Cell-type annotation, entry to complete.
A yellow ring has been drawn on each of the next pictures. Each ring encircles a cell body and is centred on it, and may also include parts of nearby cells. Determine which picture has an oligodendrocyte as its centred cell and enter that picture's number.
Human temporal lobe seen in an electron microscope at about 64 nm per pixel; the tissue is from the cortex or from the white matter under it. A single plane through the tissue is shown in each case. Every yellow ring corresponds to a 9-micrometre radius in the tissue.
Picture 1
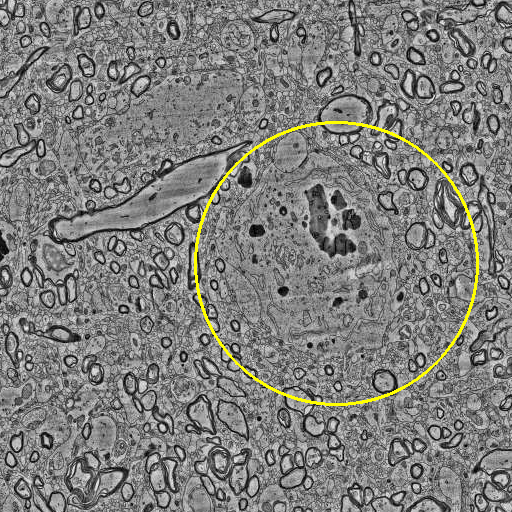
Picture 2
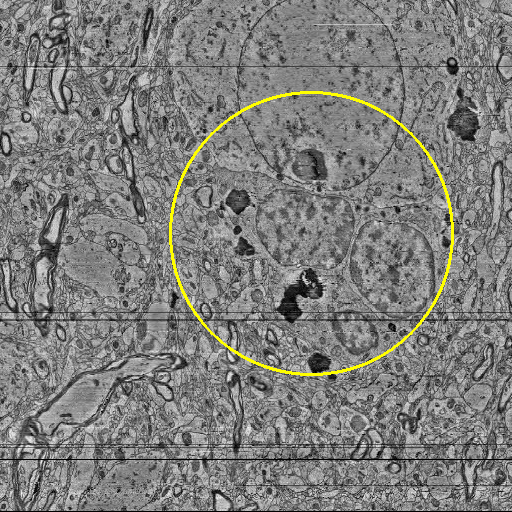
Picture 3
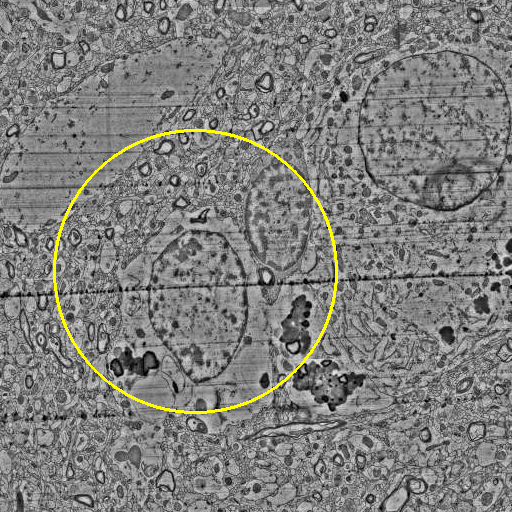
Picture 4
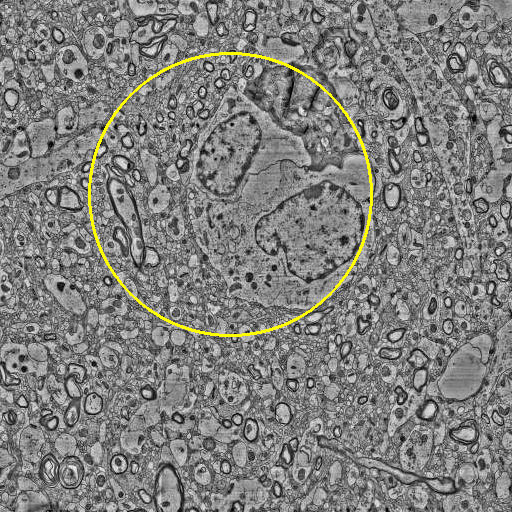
2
